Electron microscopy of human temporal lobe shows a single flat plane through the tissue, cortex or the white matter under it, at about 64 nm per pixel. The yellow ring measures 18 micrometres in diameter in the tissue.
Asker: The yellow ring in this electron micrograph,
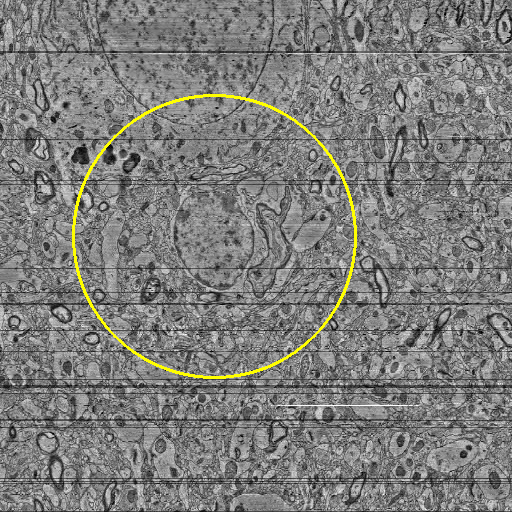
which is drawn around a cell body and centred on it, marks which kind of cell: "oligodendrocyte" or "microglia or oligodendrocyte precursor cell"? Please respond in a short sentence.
The marked cell is a microglial cell or oligodendrocyte precursor cell.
